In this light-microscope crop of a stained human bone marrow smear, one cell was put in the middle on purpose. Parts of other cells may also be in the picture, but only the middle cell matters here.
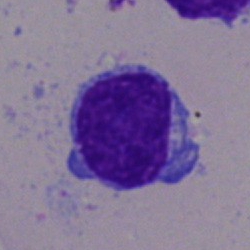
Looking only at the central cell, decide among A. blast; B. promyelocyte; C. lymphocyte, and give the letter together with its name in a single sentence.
The middle cell of the crop is a lymphocyte; accordingly, option C is correct.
